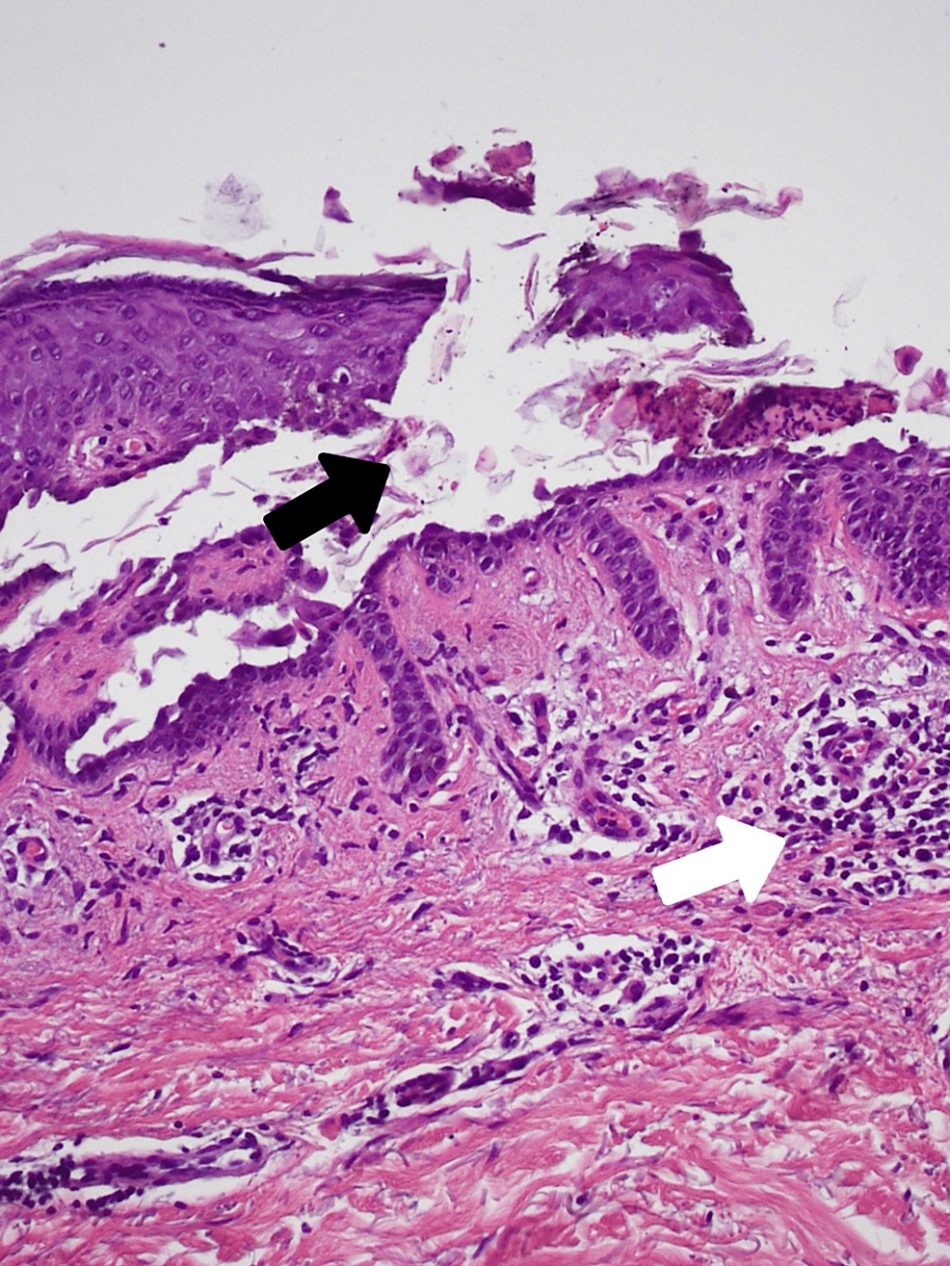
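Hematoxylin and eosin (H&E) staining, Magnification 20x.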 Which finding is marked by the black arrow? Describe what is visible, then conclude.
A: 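A cleft runs through the epidermis just above the basal layer. A single row of basal cells stays attached along the dermal papillae beneath the cleft. The upper epidermis lies separated above the cleft. Loose, separated cells and debris lie within the cleft.
Answer: suprabasilar acantholysis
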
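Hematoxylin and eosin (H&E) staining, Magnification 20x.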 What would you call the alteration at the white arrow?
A: Mononuclear inflammatory infiltrates.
